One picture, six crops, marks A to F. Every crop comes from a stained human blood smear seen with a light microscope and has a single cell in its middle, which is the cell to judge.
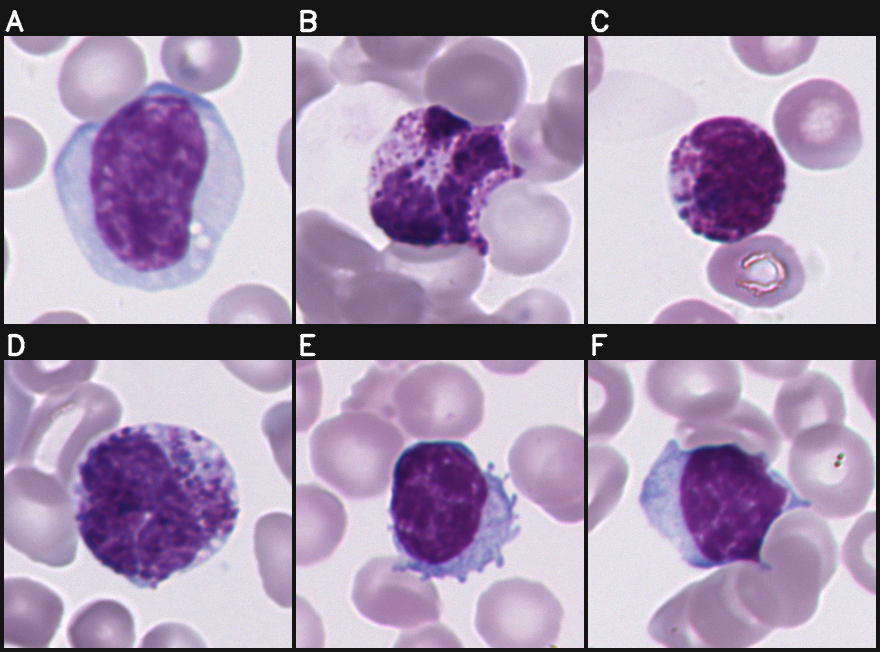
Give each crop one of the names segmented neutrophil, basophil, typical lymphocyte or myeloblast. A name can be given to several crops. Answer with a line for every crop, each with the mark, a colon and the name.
A: myeloblast
B: basophil
C: basophil
D: basophil
E: typical lymphocyte
F: typical lymphocyte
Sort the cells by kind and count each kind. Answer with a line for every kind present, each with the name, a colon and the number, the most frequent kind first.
basophil: 3
typical lymphocyte: 2
myeloblast: 1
